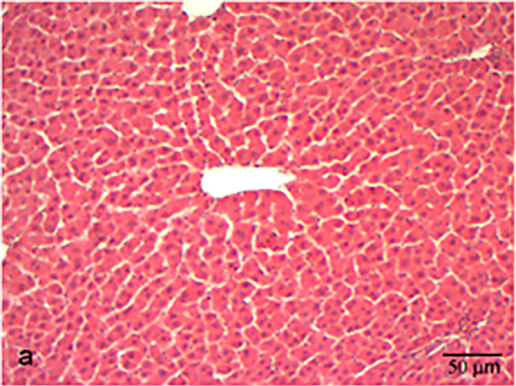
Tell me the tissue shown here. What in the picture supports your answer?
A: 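Pink polygonal cells with round central nuclei arranged in plates. Narrow pale sinusoid-like spaces run between the plates. Cell plates radiate around a central vessel lumen.
Conclusion: livers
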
